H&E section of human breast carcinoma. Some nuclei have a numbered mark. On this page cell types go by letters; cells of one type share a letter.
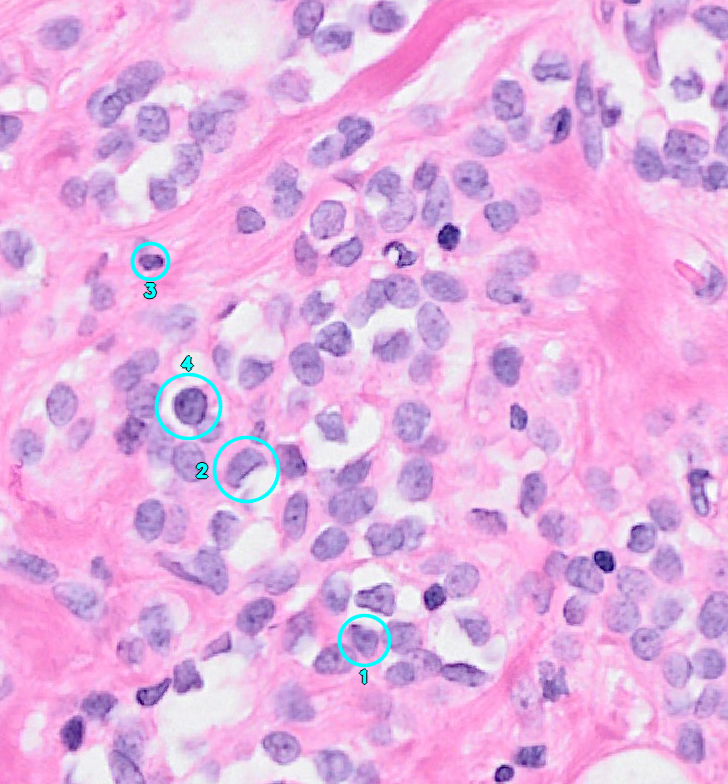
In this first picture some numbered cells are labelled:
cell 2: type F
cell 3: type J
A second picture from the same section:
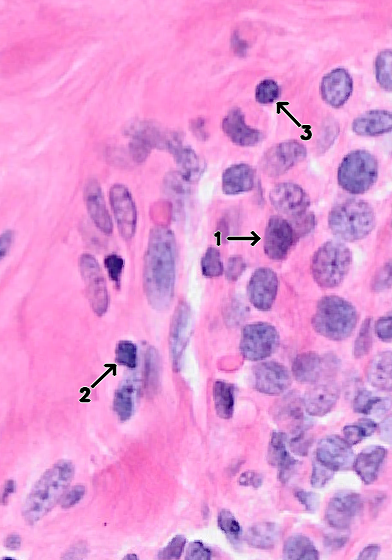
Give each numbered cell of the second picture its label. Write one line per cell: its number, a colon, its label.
1: type F
2: type J
3: type J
